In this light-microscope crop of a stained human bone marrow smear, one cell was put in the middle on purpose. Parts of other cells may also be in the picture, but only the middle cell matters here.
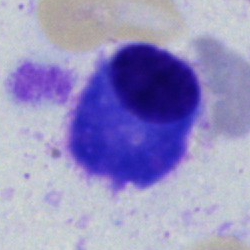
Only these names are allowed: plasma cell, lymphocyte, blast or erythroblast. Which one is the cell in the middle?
plasma cell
